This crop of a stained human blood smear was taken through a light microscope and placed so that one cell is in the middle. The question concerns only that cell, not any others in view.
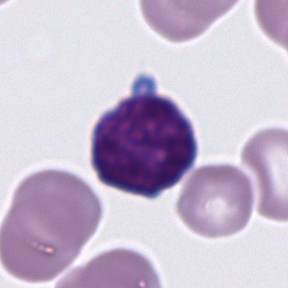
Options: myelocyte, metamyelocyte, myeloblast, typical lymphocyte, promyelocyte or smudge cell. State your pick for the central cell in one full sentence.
The target cell in the middle of the crop is a typical lymphocyte.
